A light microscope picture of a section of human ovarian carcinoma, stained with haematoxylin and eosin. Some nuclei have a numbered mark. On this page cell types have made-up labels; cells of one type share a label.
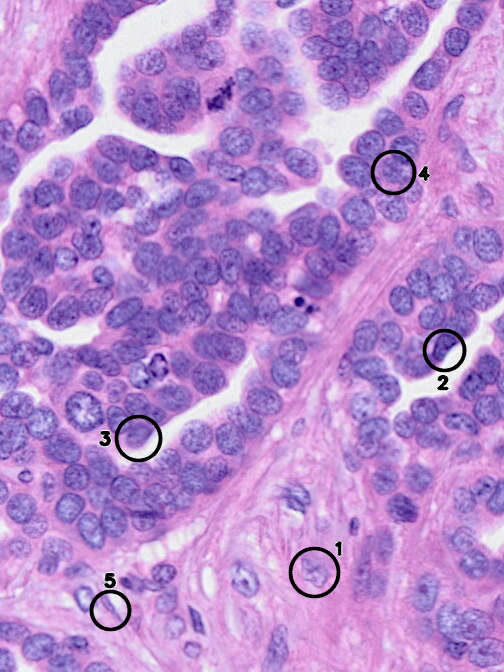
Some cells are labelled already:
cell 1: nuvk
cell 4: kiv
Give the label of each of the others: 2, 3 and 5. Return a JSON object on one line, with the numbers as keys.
{"2": "kiv", "3": "kiv", "5": "nuvk"}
